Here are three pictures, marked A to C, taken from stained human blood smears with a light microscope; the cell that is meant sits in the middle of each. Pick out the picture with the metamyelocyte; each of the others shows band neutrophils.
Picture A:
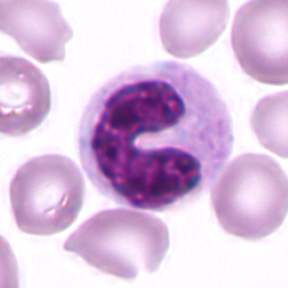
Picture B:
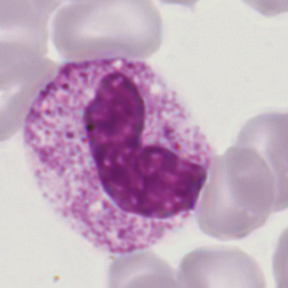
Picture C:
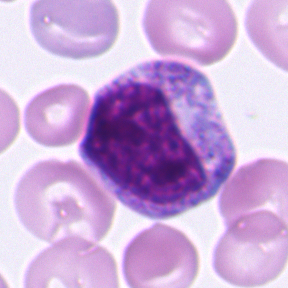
C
